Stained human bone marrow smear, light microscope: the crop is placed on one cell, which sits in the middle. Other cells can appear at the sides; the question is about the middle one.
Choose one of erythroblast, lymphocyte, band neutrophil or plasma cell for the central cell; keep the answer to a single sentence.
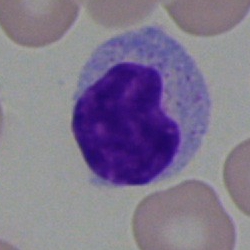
This particular crop is centered on a lymphocyte.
